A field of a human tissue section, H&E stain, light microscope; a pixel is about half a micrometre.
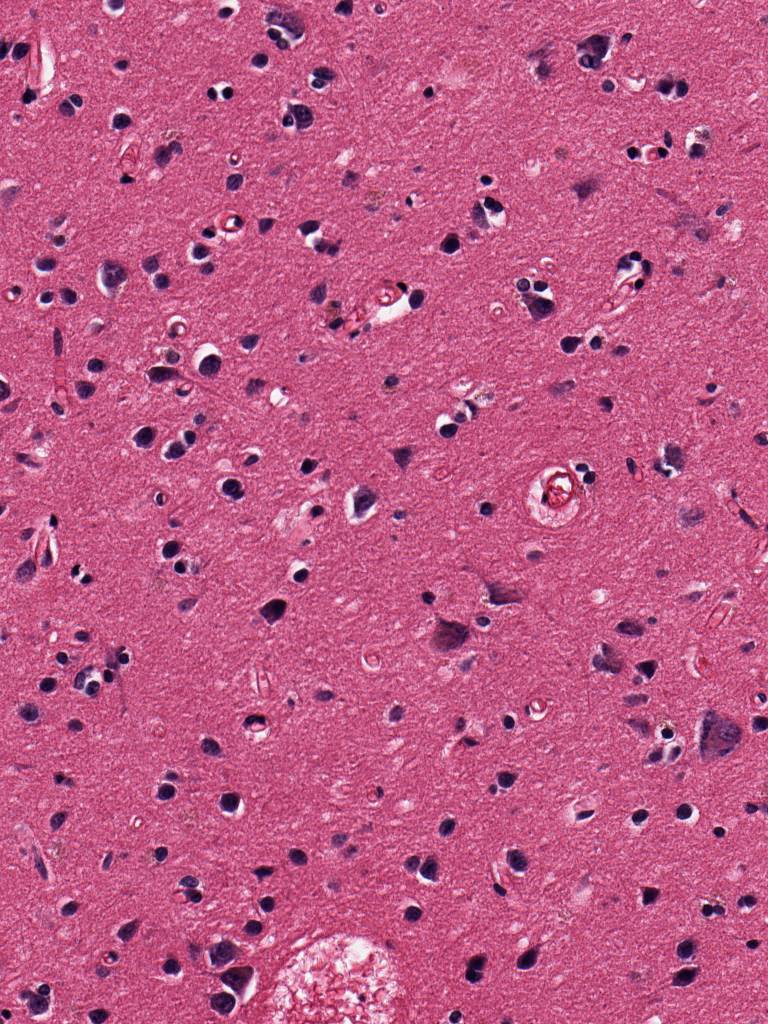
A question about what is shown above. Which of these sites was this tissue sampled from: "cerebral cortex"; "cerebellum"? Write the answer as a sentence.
The site this tissue was sampled from is the cerebral cortex.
